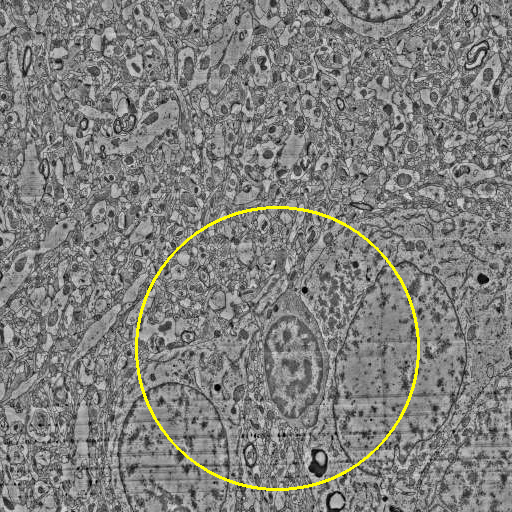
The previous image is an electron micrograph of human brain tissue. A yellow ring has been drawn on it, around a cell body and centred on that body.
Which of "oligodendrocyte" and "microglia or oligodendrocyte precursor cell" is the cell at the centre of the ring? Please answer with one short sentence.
The cell body at the centre of the ring belongs to an oligodendrocyte.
